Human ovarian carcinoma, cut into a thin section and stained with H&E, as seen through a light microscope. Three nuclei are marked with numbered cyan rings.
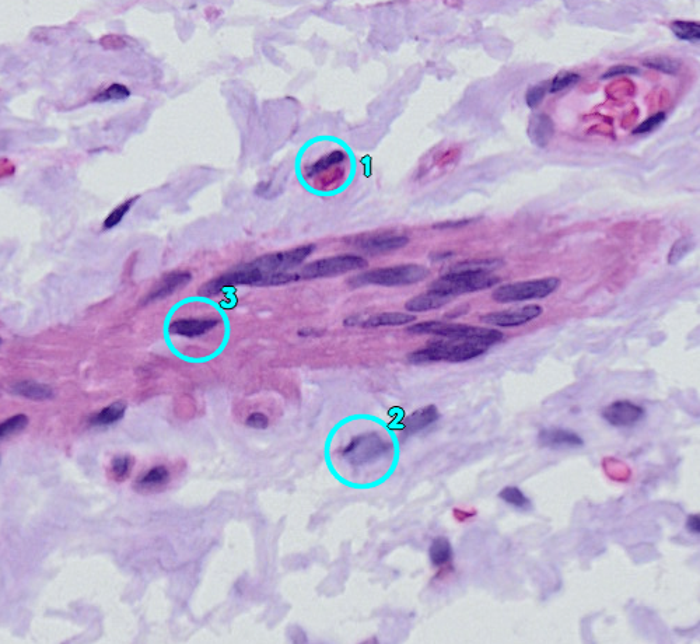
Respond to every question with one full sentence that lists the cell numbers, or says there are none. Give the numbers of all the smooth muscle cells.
Cell 3 is a smooth muscle cell, while every other numbered cell is not.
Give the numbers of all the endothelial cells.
Only the cell at mark 1 is an endothelial cell, and no other marked cell is.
